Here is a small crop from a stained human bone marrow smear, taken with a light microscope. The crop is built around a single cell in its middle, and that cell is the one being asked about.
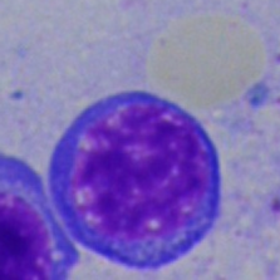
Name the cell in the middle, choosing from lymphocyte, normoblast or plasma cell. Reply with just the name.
normoblast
